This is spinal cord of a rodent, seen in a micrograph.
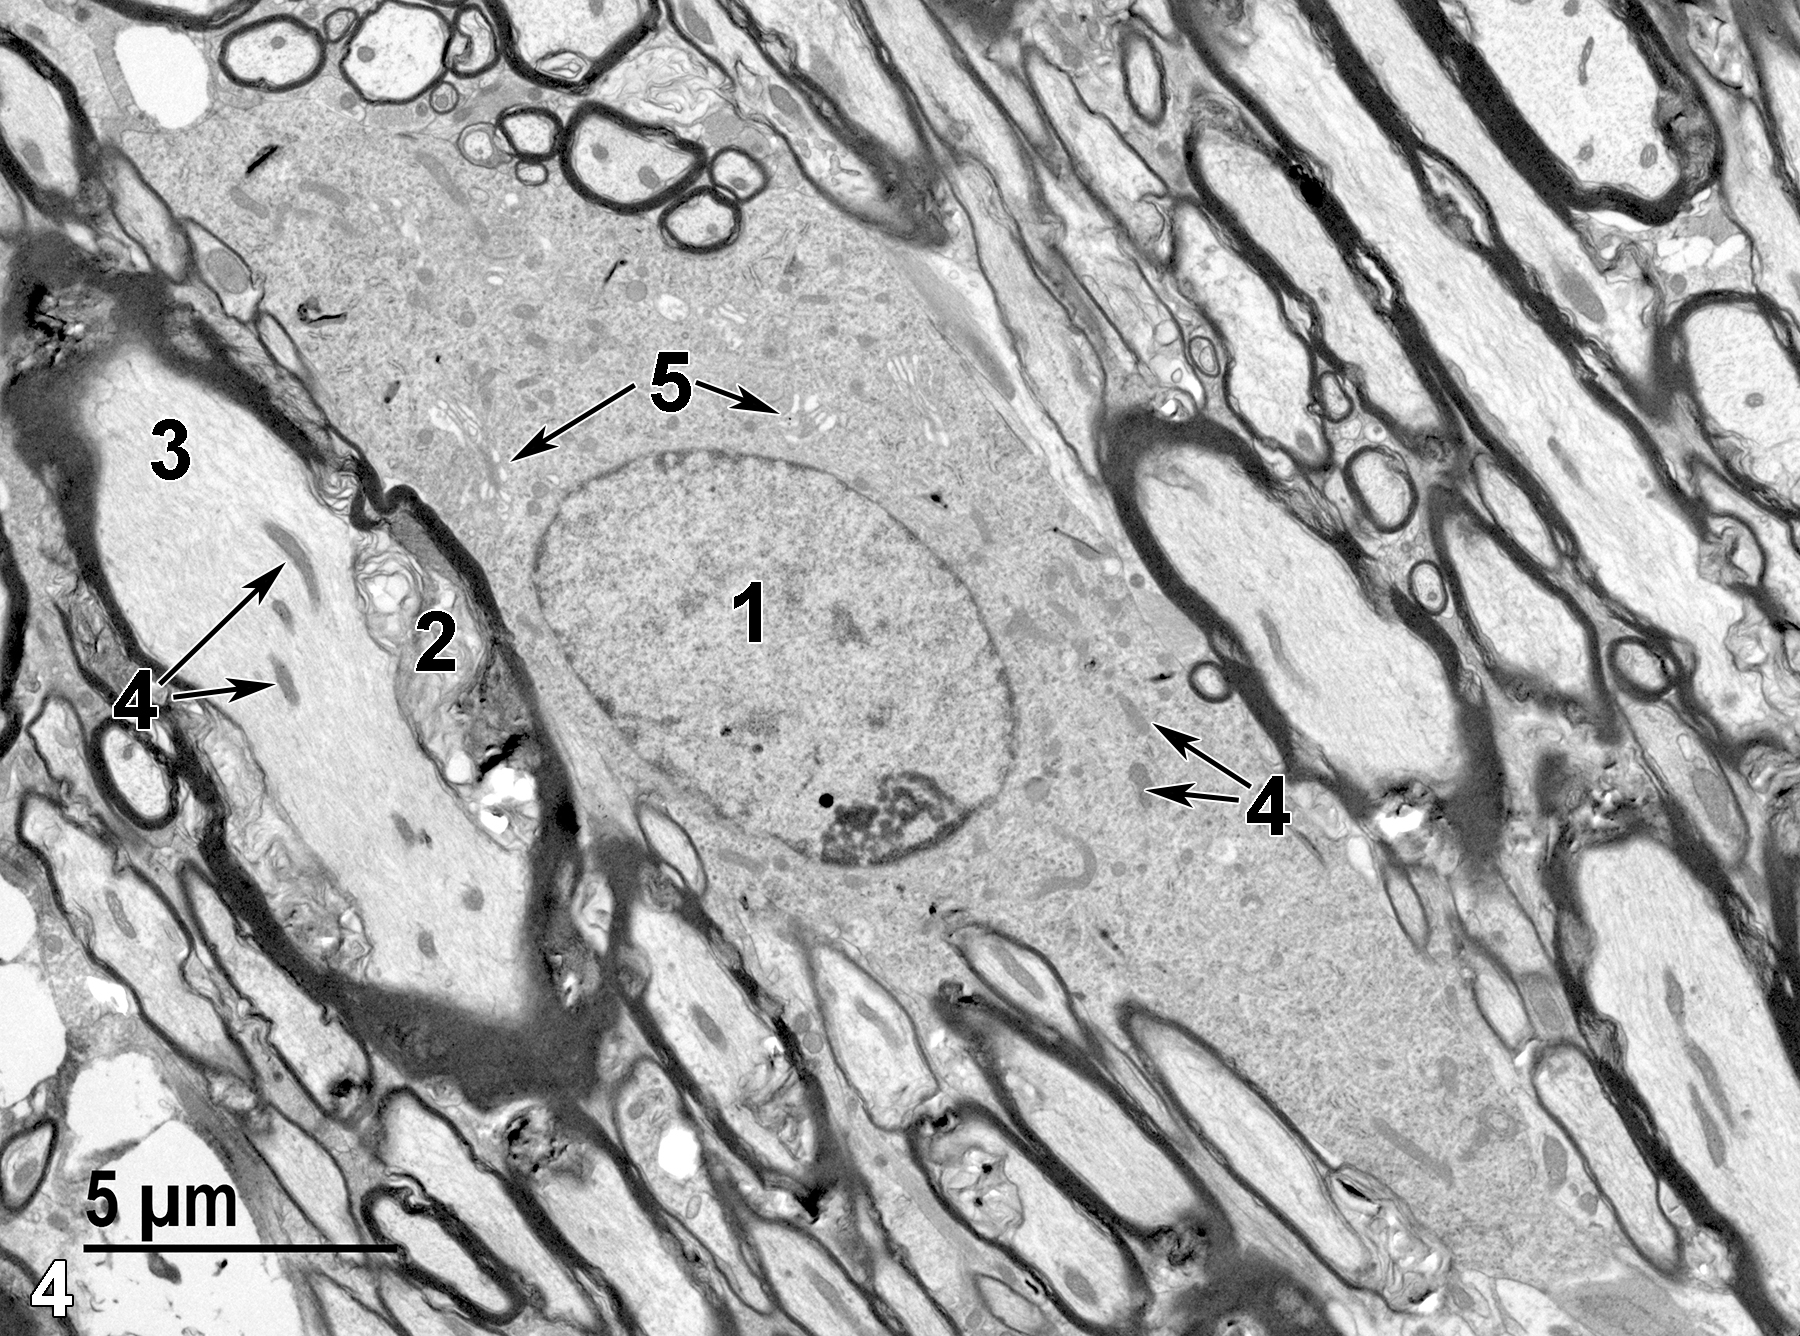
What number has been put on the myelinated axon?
It's 3.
